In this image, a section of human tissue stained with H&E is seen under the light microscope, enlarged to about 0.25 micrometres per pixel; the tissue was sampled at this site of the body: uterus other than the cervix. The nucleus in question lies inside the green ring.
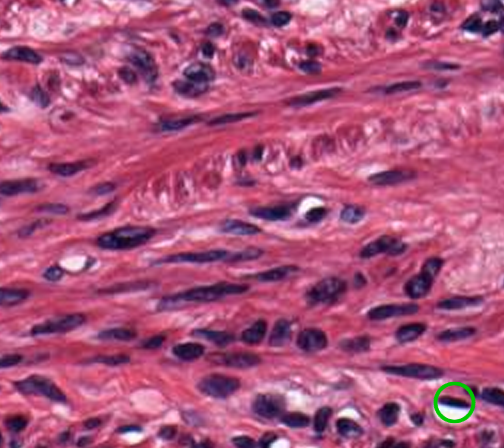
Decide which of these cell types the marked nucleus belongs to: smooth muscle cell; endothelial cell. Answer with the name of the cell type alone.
endothelial cell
